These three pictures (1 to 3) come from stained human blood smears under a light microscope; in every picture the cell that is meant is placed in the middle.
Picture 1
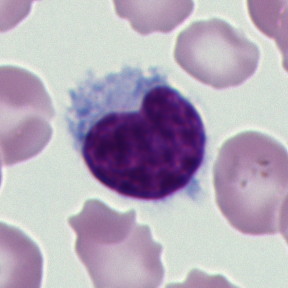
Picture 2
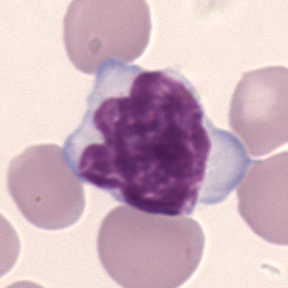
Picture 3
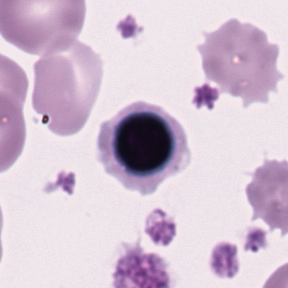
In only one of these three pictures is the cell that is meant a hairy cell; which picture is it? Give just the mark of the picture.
1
